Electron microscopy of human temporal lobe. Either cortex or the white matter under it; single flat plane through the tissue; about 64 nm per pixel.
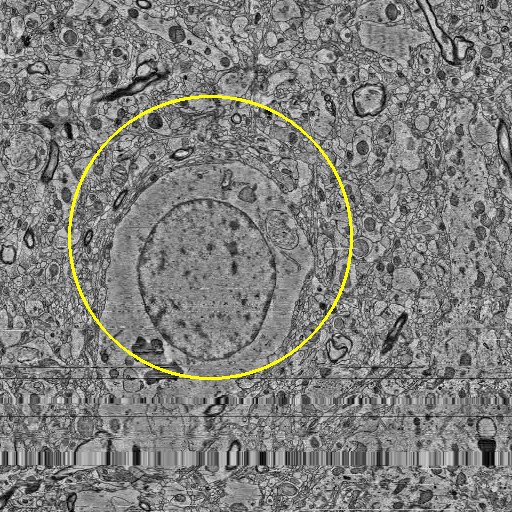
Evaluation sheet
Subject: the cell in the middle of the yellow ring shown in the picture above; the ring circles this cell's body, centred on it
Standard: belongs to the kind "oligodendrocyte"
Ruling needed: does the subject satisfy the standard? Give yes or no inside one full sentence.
No, the cell in the middle of the ring in the picture above belongs to some other kind.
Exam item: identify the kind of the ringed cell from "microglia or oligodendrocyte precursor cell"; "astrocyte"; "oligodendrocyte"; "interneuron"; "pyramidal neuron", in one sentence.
It is an astrocyte that the ring is centred on.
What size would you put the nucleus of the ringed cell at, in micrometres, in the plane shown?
About 11 micrometres by about 9 micrometres in this plane.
